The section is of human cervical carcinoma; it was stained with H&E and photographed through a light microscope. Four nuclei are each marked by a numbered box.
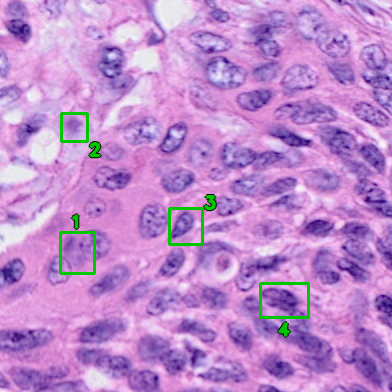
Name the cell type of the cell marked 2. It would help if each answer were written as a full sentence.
The cell identified by the number 2 is a fibroblast.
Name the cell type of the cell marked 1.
Cell 1, among those numbered, is a squamous carcinoma cell.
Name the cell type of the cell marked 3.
The cell numbered 3 has been identified as a squamous carcinoma cell.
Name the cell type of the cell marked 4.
Numbered cell 4 is a squamous carcinoma cell in this tissue section.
